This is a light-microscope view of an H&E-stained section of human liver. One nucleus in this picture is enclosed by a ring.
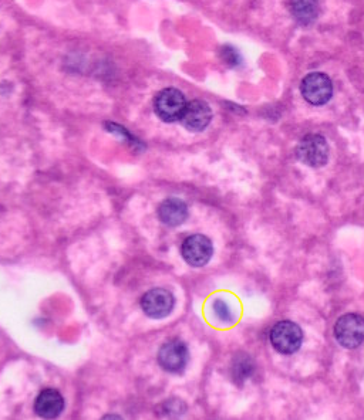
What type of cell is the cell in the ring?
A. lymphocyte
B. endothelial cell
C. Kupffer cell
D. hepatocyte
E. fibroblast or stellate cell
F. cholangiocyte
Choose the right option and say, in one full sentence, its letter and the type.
Option A gets it right, as the cell in the ring is a lymphocyte.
